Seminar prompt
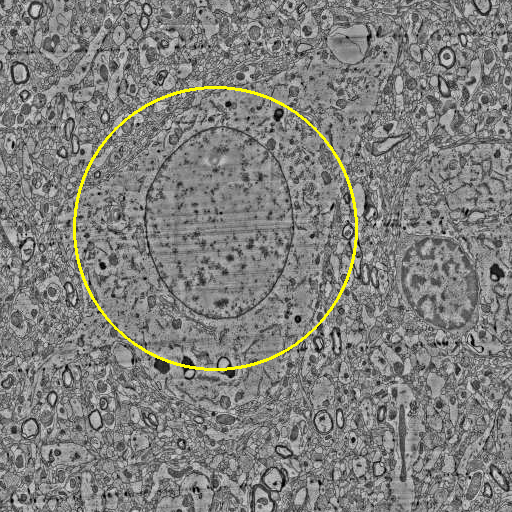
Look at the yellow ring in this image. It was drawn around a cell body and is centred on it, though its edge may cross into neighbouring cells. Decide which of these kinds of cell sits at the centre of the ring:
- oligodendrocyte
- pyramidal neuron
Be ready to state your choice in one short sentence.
The kind of cell at the ring's centre is a pyramidal neuron.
